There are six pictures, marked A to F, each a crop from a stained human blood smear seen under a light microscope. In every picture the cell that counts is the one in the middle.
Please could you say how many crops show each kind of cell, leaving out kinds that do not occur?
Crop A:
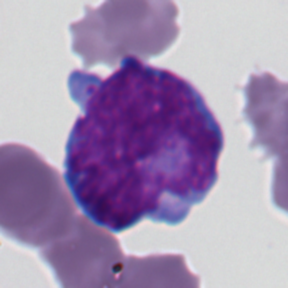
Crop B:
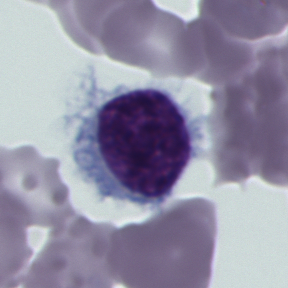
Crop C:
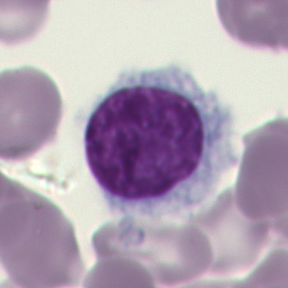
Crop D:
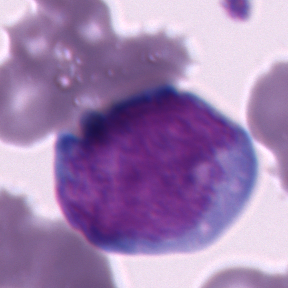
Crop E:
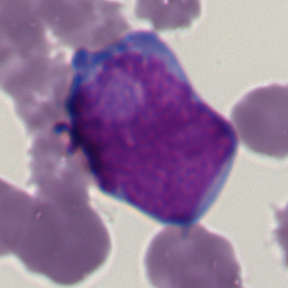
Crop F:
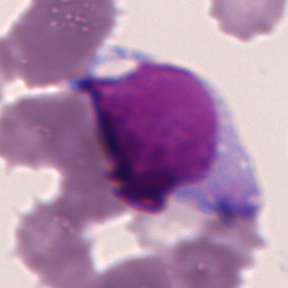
myeloblast: 4
hairy cell: 2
